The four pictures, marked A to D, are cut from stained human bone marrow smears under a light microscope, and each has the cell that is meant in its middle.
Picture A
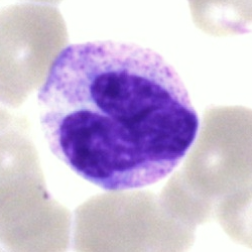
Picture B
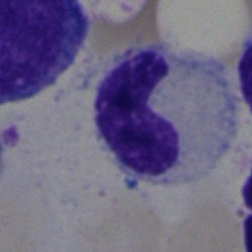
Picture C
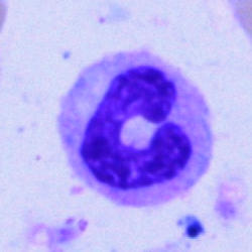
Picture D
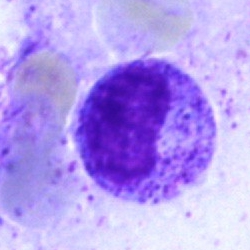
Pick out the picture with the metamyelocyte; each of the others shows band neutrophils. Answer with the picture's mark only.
D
